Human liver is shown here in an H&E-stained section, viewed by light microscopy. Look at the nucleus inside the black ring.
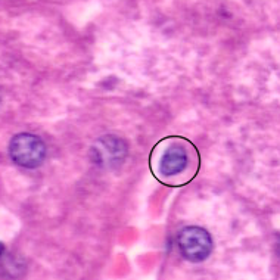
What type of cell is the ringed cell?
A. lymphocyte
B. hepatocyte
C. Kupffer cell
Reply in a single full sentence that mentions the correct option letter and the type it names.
In keeping with option C, the ringed cell is a Kupffer cell.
